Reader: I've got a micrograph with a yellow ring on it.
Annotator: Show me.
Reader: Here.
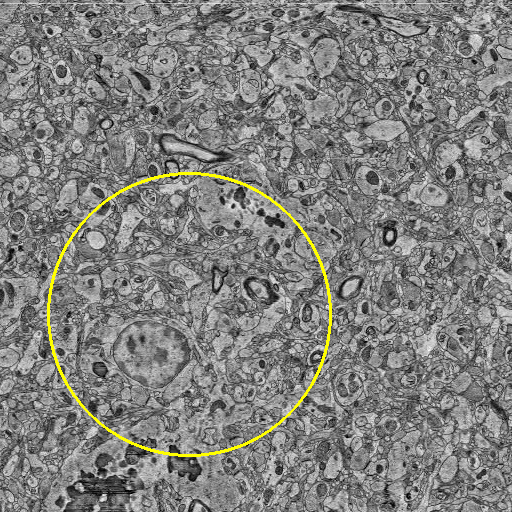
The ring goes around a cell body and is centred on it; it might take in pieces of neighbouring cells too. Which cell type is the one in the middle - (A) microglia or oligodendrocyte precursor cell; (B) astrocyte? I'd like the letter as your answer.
A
